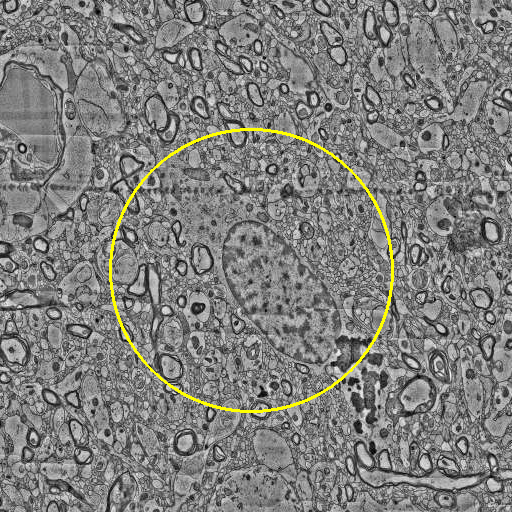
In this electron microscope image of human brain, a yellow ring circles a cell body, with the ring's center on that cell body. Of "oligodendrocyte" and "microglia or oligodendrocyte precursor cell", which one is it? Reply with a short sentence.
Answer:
It is an oligodendrocyte at the center of the ring.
